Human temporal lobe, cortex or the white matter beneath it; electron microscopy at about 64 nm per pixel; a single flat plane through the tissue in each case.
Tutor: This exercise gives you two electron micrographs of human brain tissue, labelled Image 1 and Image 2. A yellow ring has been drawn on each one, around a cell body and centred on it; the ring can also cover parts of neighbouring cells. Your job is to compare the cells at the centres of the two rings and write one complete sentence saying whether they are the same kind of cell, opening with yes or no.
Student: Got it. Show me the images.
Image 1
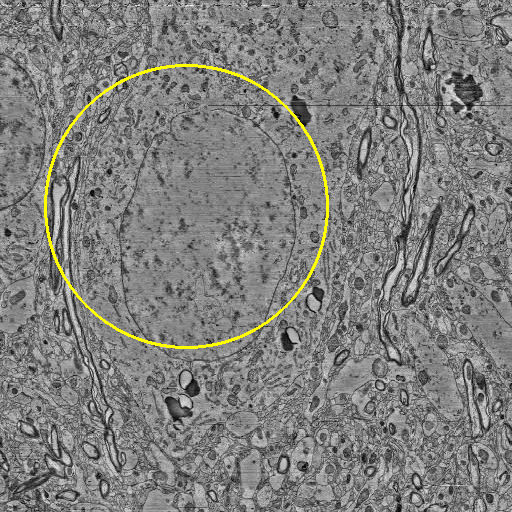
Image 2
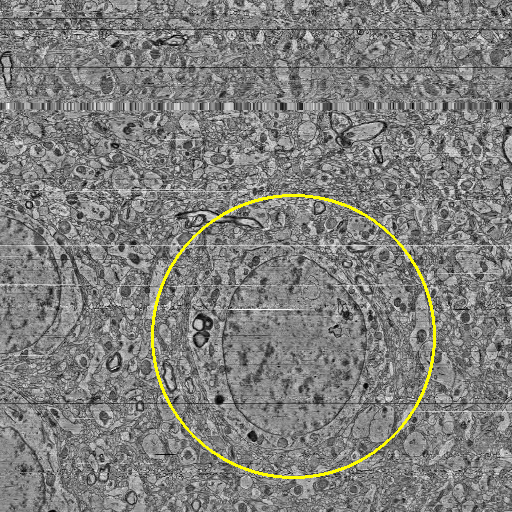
Yes, the two cells belong to the same kind.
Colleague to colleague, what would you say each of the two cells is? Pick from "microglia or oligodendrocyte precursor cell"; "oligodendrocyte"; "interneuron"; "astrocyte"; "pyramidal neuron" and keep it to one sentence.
Each of the two cells is a pyramidal neuron.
